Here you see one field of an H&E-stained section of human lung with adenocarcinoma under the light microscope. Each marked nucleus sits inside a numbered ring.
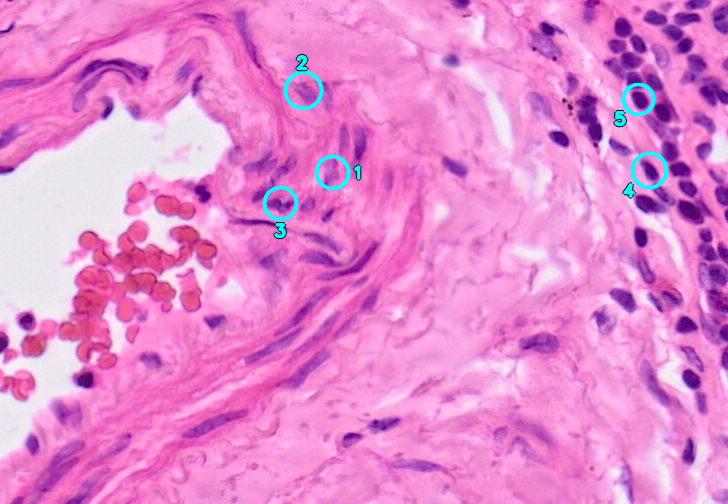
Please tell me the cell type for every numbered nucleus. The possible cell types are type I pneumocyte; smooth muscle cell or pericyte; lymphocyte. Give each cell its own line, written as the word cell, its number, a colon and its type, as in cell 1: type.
cell 1: smooth muscle cell or pericyte
cell 2: smooth muscle cell or pericyte
cell 3: smooth muscle cell or pericyte
cell 4: lymphocyte
cell 5: lymphocyte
